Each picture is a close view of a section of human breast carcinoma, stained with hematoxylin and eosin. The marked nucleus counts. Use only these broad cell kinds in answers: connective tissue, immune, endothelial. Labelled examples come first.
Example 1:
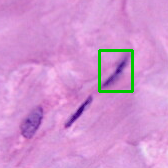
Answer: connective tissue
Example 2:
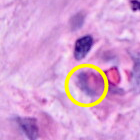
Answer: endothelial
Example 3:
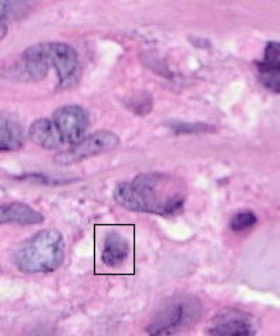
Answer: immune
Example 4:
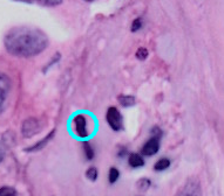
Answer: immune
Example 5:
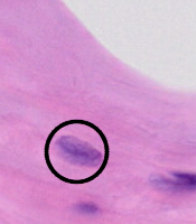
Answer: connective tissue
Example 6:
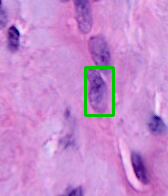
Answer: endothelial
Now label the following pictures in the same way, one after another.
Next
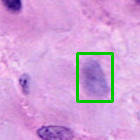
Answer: connective tissue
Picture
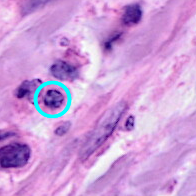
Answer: immune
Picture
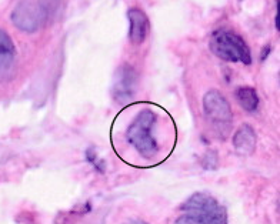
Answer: immune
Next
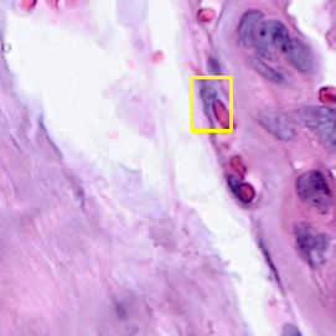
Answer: endothelial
